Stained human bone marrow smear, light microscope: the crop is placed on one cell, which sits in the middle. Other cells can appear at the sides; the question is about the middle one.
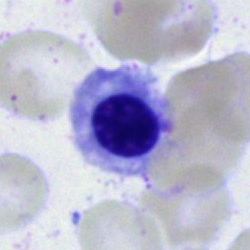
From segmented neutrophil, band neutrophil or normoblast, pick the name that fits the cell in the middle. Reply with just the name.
normoblast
